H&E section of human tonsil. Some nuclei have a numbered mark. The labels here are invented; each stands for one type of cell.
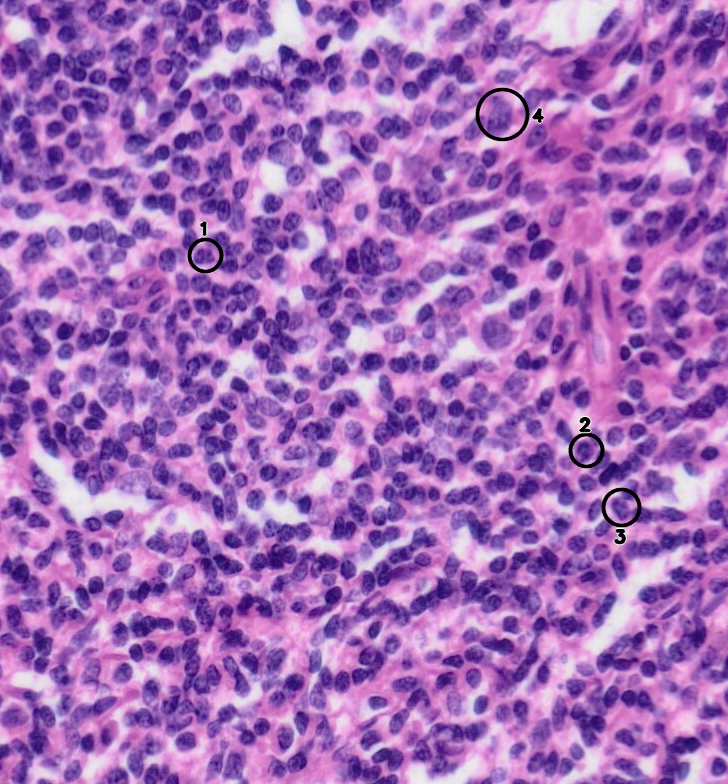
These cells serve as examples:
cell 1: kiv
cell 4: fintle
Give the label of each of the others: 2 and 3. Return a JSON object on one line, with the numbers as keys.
{"2": "kiv", "3": "kiv"}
